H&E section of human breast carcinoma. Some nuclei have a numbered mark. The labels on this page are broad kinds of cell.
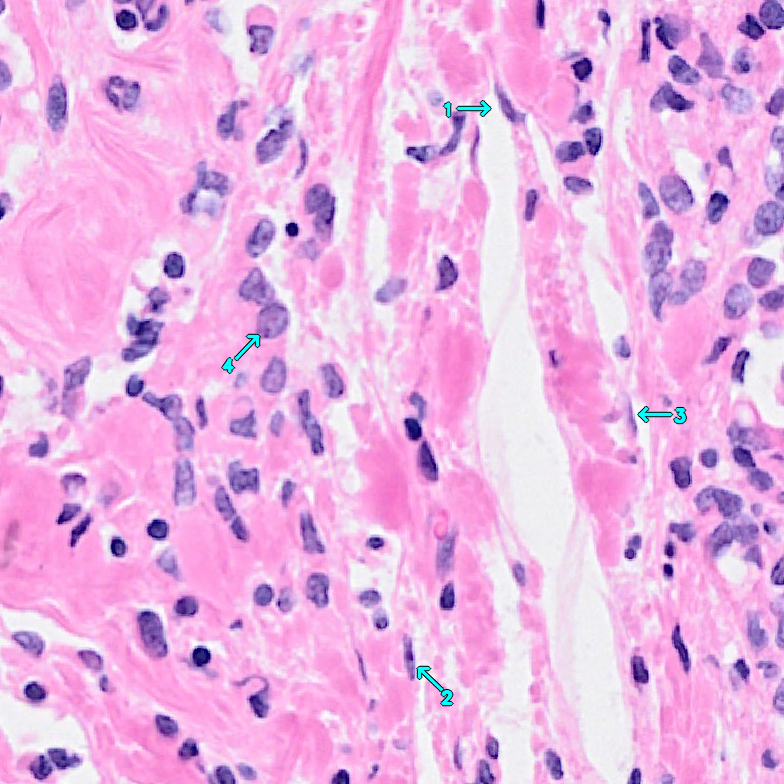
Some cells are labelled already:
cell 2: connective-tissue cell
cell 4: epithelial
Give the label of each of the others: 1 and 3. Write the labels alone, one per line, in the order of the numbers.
connective-tissue cell
connective-tissue cell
